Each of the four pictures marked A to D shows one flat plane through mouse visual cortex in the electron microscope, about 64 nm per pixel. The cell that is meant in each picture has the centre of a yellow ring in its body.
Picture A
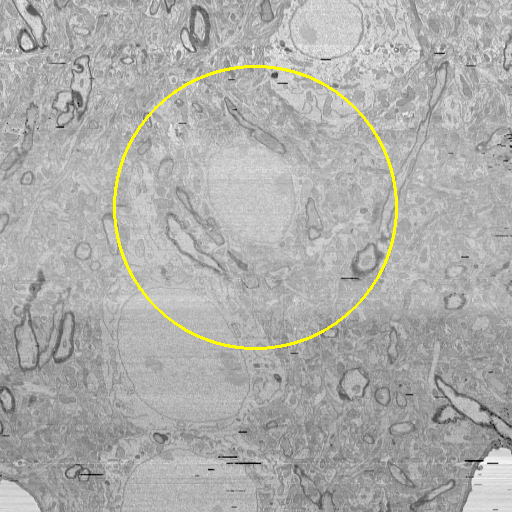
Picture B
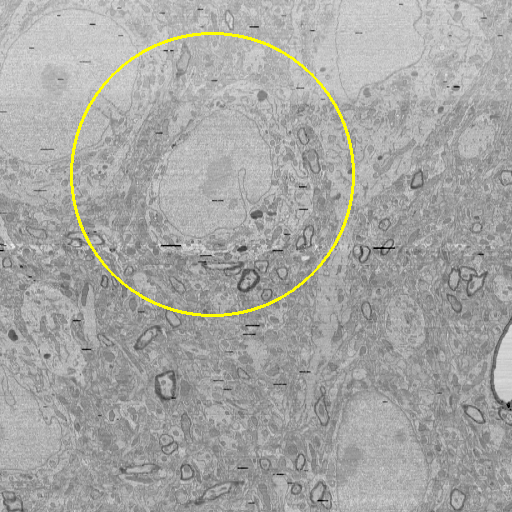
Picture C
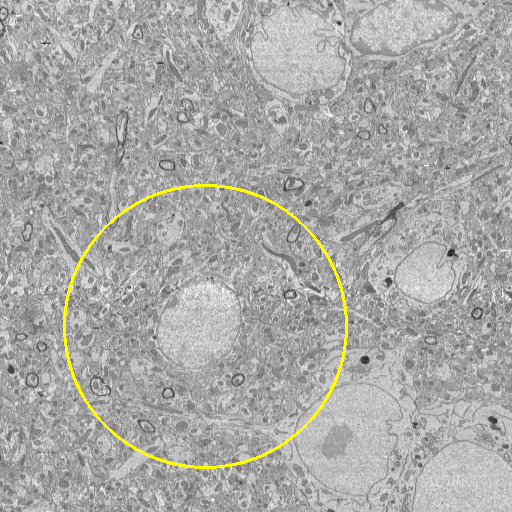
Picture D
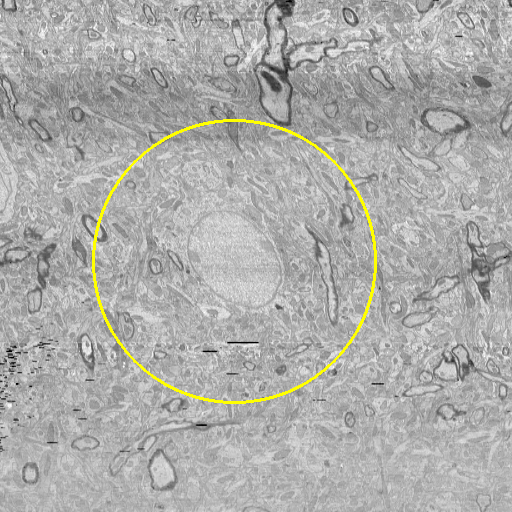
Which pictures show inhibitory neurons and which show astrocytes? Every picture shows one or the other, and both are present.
Picture B shows an inhibitory neuron; pictures A, C and D show astrocytes.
